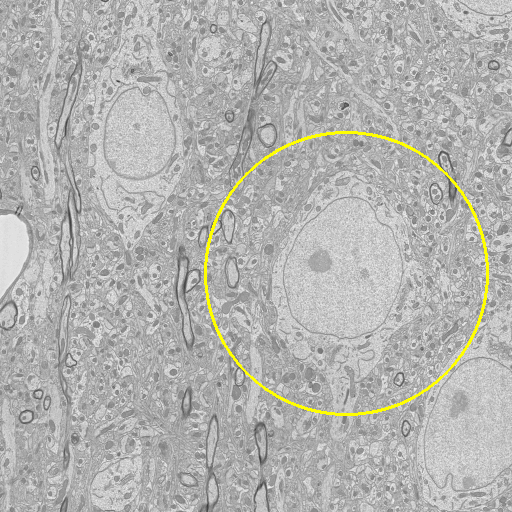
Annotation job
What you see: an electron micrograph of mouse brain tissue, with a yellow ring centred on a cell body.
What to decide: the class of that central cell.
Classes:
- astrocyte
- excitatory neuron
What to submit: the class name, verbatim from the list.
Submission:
excitatory neuron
